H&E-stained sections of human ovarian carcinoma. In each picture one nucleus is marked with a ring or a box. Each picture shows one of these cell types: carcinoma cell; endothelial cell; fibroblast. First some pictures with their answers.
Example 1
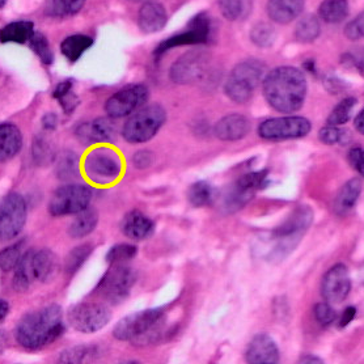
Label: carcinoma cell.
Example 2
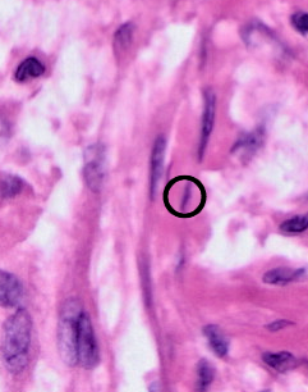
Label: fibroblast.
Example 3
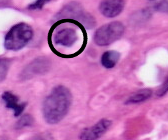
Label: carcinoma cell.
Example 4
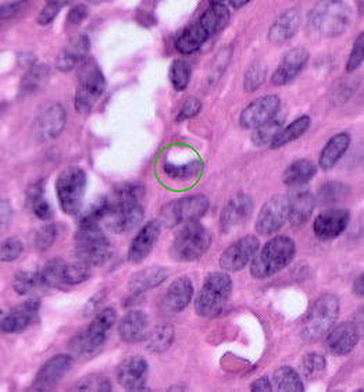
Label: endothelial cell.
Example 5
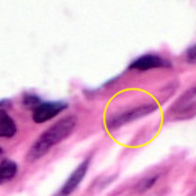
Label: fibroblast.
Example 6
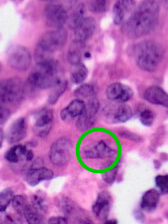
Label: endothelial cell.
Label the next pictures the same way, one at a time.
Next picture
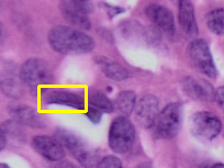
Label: carcinoma cell.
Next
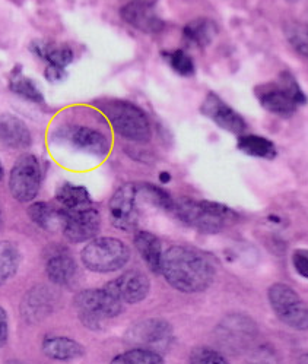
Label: carcinoma cell.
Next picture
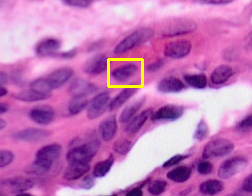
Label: endothelial cell.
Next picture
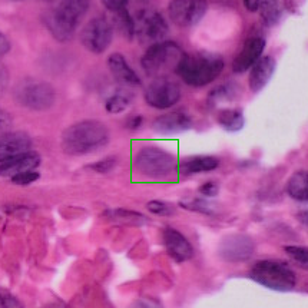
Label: carcinoma cell.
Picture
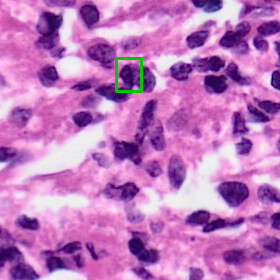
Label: carcinoma cell.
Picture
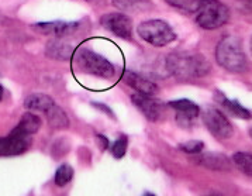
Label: carcinoma cell.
